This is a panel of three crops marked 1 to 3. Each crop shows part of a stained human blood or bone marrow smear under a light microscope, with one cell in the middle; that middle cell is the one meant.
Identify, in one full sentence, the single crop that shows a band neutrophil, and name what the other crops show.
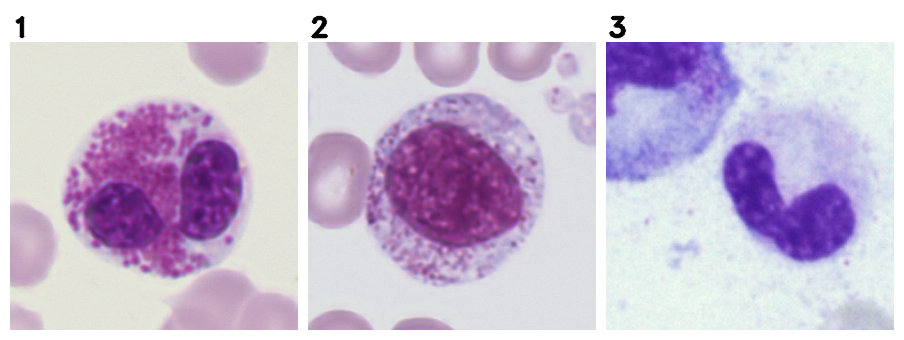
Inside crop 3 there is a band neutrophil, while crop 1 is an eosinophil and crop 2 is a myelocyte.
